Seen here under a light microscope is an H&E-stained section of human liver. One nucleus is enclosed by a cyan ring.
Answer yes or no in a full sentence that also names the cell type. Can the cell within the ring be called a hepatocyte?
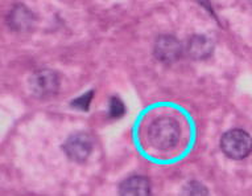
Yes, the cell within the ring is assigned the identity of a hepatocyte.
